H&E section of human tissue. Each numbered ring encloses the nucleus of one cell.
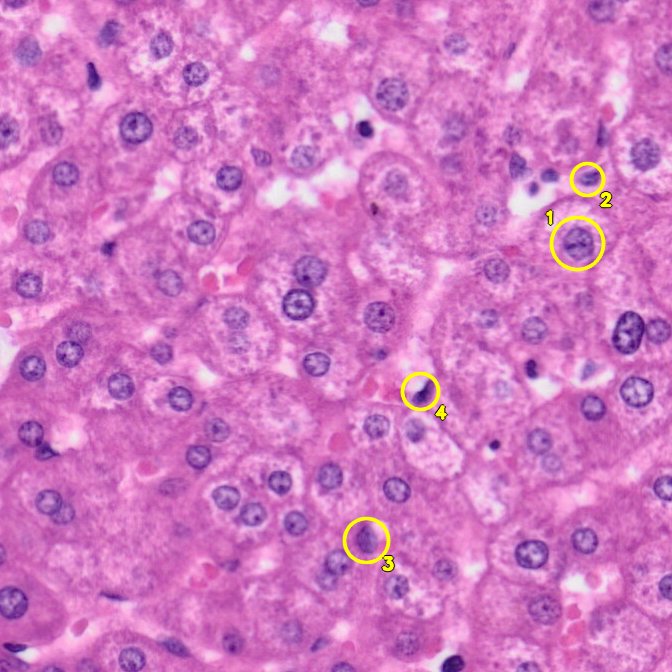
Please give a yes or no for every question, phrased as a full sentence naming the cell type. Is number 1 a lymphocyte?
No, the cell given the number 1 is a hepatocyte, so not a lymphocyte.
